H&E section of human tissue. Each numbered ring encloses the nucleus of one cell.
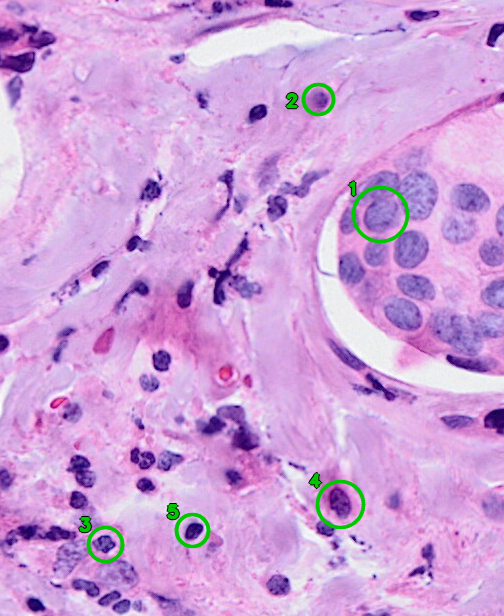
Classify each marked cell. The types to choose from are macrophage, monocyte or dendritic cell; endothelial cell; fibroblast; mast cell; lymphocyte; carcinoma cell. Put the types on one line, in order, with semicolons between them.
carcinoma cell; mast cell; lymphocyte; mast cell; lymphocyte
